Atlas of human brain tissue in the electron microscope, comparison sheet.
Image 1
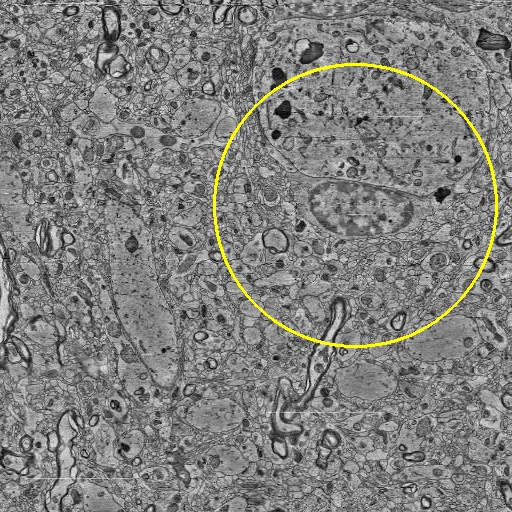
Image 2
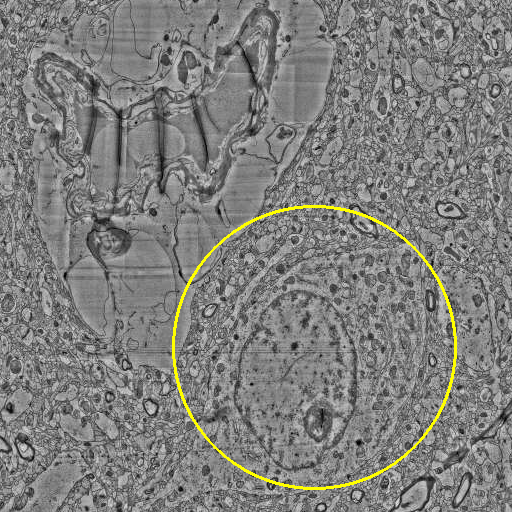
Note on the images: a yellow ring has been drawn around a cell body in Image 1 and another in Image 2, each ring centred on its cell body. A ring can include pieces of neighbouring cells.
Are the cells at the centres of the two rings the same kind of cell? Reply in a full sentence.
No, the two cells are of two kinds.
